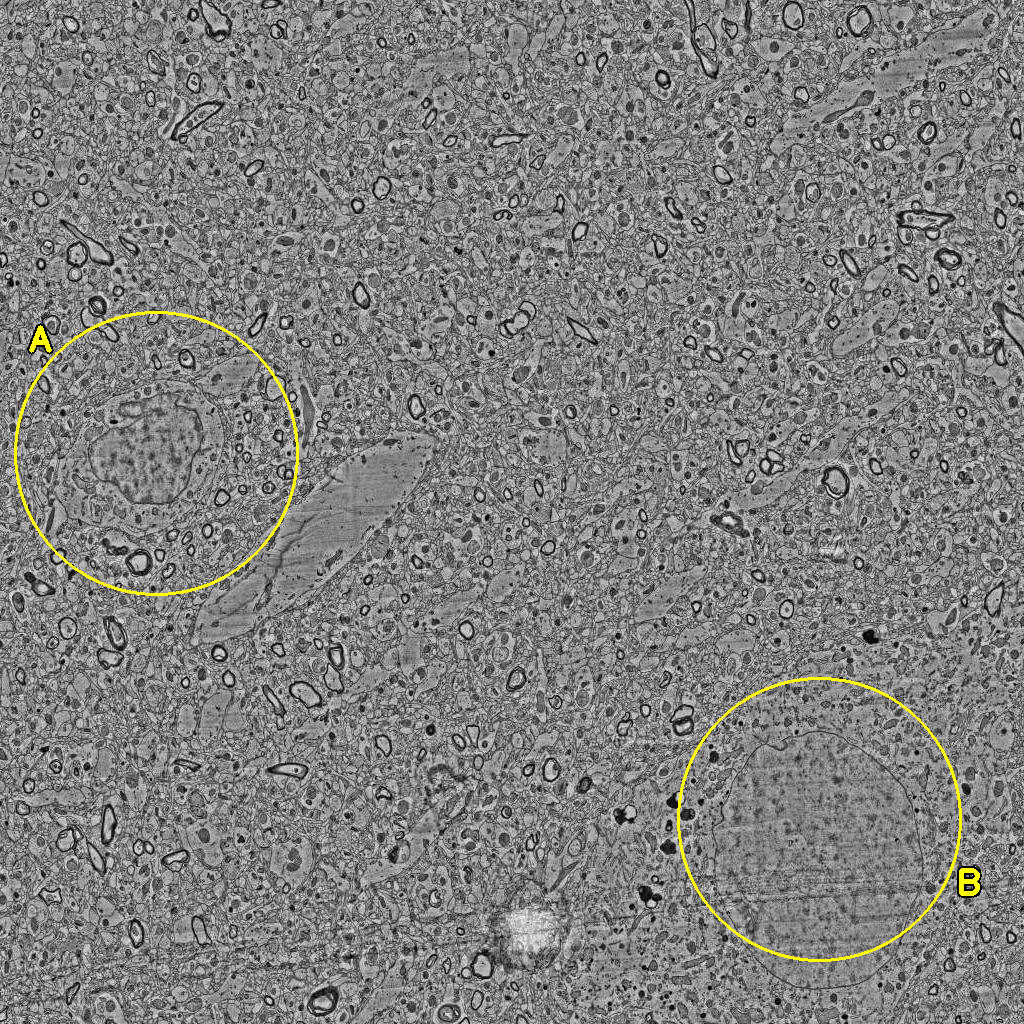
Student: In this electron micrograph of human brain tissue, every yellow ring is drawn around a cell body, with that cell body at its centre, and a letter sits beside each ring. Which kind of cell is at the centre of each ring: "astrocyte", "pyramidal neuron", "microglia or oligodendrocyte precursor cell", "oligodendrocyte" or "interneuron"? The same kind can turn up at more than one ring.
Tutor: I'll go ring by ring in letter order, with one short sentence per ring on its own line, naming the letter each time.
Ring A: the cell at its centre is an interneuron.
Ring B: the cell at its centre is a pyramidal neuron.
